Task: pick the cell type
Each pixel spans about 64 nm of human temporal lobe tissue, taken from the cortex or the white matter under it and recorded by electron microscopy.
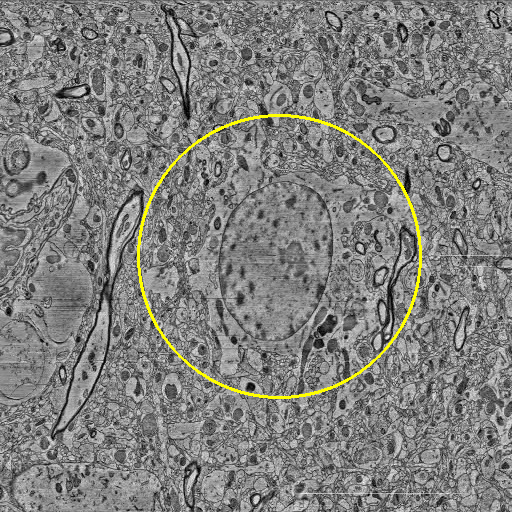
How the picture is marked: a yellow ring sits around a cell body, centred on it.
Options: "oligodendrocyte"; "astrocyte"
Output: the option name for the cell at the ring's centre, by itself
astrocyte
